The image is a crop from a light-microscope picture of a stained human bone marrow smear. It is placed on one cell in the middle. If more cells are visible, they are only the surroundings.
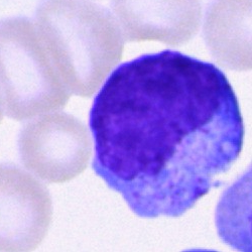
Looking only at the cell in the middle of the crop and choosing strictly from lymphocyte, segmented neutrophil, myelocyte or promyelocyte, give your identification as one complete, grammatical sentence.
This crop's central cell is a promyelocyte.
